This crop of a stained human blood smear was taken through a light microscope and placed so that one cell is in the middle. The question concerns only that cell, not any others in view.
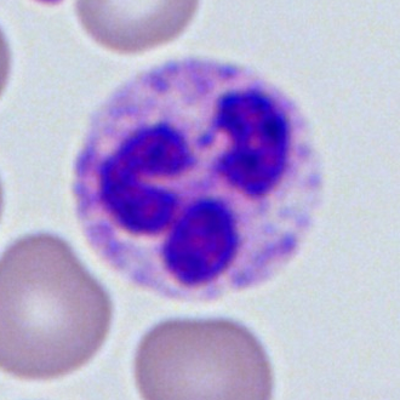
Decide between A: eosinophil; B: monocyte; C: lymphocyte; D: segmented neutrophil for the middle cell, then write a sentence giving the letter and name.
The cell centred in the crop is a segmented neutrophil, and the correct option is thus D.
